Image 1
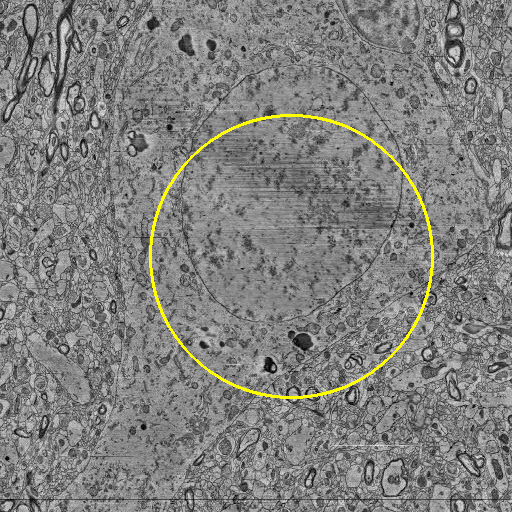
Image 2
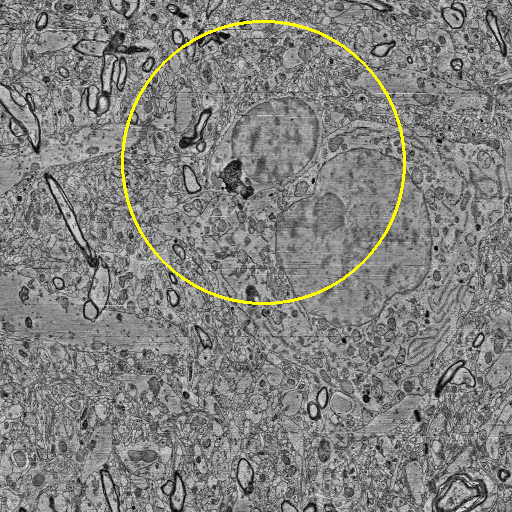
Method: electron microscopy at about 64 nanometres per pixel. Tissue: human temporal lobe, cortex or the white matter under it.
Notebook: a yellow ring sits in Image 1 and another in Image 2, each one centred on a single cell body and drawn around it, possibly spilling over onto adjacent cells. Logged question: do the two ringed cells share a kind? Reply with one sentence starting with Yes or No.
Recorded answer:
No, the centre cells inside the rings of Image 1 and Image 2 are of two kinds.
